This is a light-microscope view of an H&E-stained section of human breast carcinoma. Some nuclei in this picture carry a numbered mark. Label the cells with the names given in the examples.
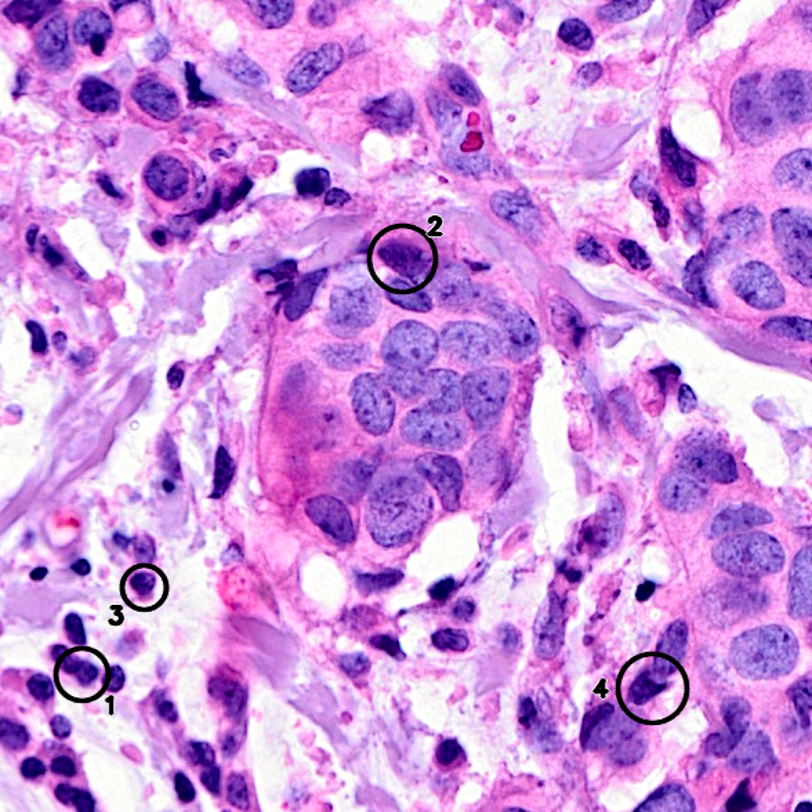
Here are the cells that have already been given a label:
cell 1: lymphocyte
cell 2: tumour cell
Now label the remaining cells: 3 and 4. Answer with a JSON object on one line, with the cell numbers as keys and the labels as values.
{"3": "lymphocyte", "4": "tumour cell"}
